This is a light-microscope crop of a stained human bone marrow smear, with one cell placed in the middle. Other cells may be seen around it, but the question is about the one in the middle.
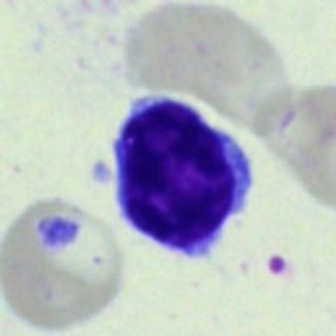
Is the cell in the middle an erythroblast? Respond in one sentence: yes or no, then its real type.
No, calling it an erythroblast is wrong; the middle cell is a lymphocyte.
